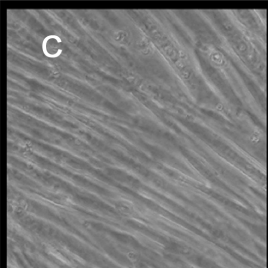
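Oval nuclei can be made out inside many of the tubes. The outlines of the tubes show as fine bright lines between them.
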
